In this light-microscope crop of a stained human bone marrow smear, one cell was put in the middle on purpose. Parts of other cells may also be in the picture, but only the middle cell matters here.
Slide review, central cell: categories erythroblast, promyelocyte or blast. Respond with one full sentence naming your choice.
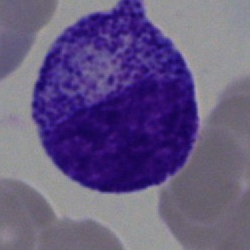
As for the central cell, it is a promyelocyte.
